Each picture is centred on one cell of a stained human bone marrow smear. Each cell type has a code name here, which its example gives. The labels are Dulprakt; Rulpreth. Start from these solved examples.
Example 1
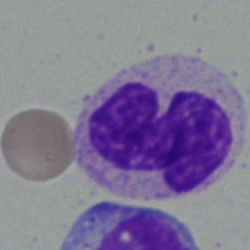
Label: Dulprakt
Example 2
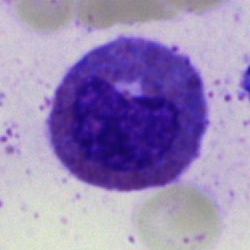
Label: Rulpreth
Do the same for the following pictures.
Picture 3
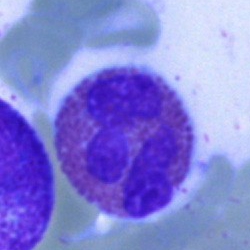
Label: Rulpreth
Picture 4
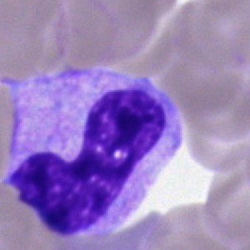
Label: Dulprakt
